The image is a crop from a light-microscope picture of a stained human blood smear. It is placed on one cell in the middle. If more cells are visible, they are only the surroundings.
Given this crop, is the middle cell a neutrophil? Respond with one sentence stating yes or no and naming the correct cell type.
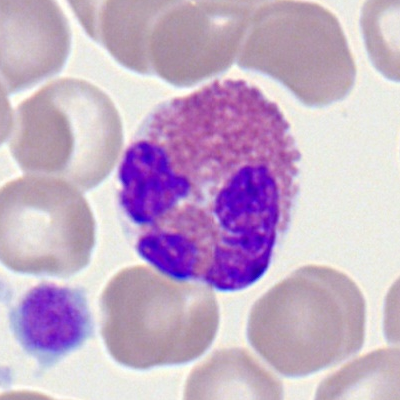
No, the central cell in this crop is an eosinophil and not a neutrophil.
